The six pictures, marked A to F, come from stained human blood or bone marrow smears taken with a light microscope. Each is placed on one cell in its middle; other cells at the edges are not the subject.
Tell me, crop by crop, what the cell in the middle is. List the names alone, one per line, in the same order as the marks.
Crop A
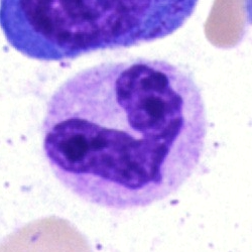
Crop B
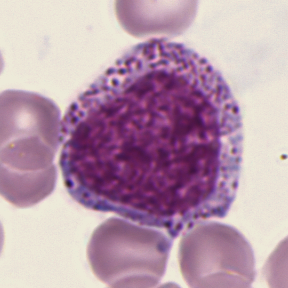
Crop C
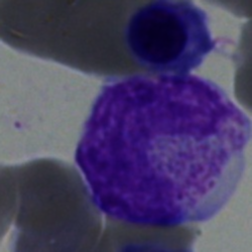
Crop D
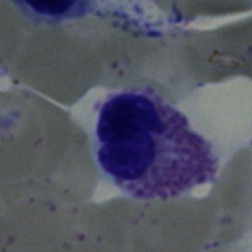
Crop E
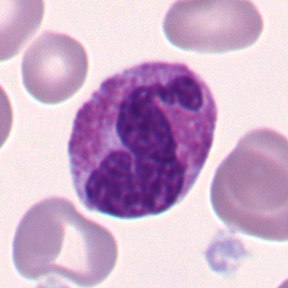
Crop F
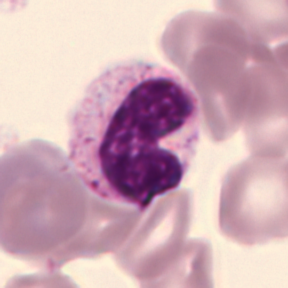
band neutrophil
promyelocyte
band neutrophil
eosinophil
eosinophil
band neutrophil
